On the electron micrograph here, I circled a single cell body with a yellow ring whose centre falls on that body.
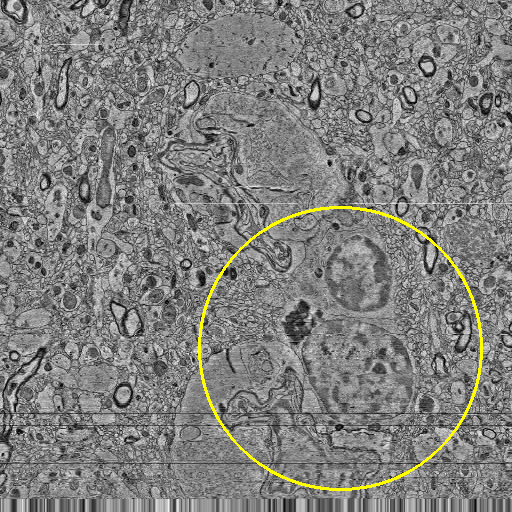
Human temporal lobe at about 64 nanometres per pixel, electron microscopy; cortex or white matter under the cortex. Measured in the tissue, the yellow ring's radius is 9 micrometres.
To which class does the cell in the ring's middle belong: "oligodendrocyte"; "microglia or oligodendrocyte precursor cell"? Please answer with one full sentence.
In this picture, the cell body circled at the ring's centre belongs to an oligodendrocyte.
